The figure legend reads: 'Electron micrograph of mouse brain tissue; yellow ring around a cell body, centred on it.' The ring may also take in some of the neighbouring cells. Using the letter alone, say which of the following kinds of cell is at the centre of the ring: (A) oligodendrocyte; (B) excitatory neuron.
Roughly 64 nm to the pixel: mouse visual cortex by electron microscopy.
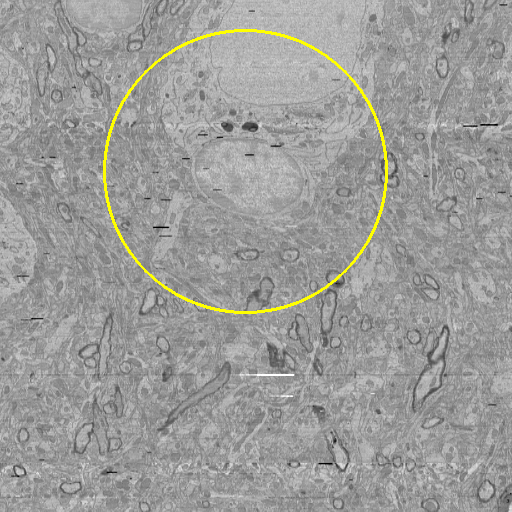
A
